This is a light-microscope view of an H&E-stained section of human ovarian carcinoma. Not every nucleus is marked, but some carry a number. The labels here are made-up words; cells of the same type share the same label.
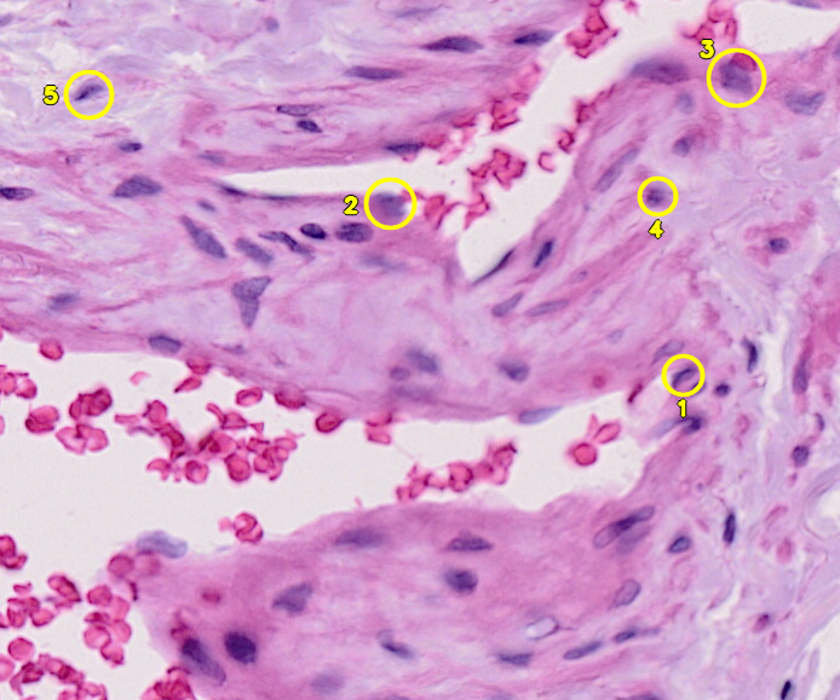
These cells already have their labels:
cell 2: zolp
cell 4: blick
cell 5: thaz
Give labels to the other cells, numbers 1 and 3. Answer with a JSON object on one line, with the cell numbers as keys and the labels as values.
{"1": "zolp", "3": "zolp"}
